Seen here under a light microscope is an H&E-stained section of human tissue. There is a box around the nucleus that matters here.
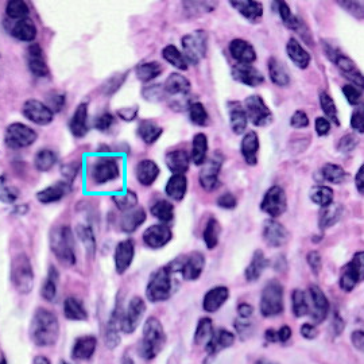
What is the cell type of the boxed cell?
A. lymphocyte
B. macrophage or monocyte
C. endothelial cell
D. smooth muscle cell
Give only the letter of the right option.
A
